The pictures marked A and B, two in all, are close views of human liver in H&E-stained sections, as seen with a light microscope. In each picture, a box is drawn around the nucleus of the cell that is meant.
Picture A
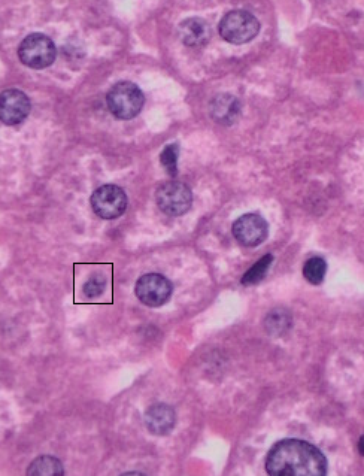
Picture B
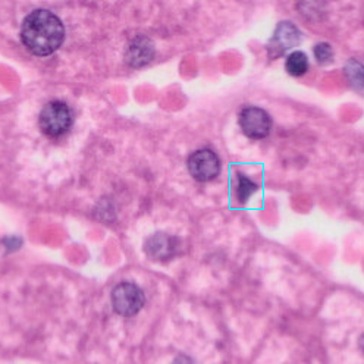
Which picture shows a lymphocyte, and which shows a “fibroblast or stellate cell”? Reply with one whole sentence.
Picture A shows a lymphocyte and picture B shows a “fibroblast or stellate cell”.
